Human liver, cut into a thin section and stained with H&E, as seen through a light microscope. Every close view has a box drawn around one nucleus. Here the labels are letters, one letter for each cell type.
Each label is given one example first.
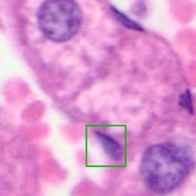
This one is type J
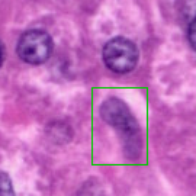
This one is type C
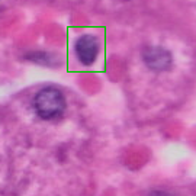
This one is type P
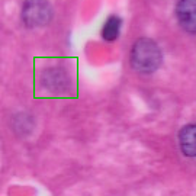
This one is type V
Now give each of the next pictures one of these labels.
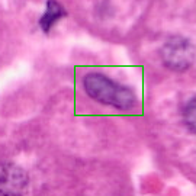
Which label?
type C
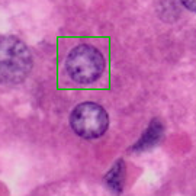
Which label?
type V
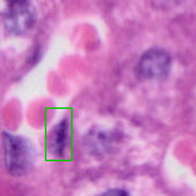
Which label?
type J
